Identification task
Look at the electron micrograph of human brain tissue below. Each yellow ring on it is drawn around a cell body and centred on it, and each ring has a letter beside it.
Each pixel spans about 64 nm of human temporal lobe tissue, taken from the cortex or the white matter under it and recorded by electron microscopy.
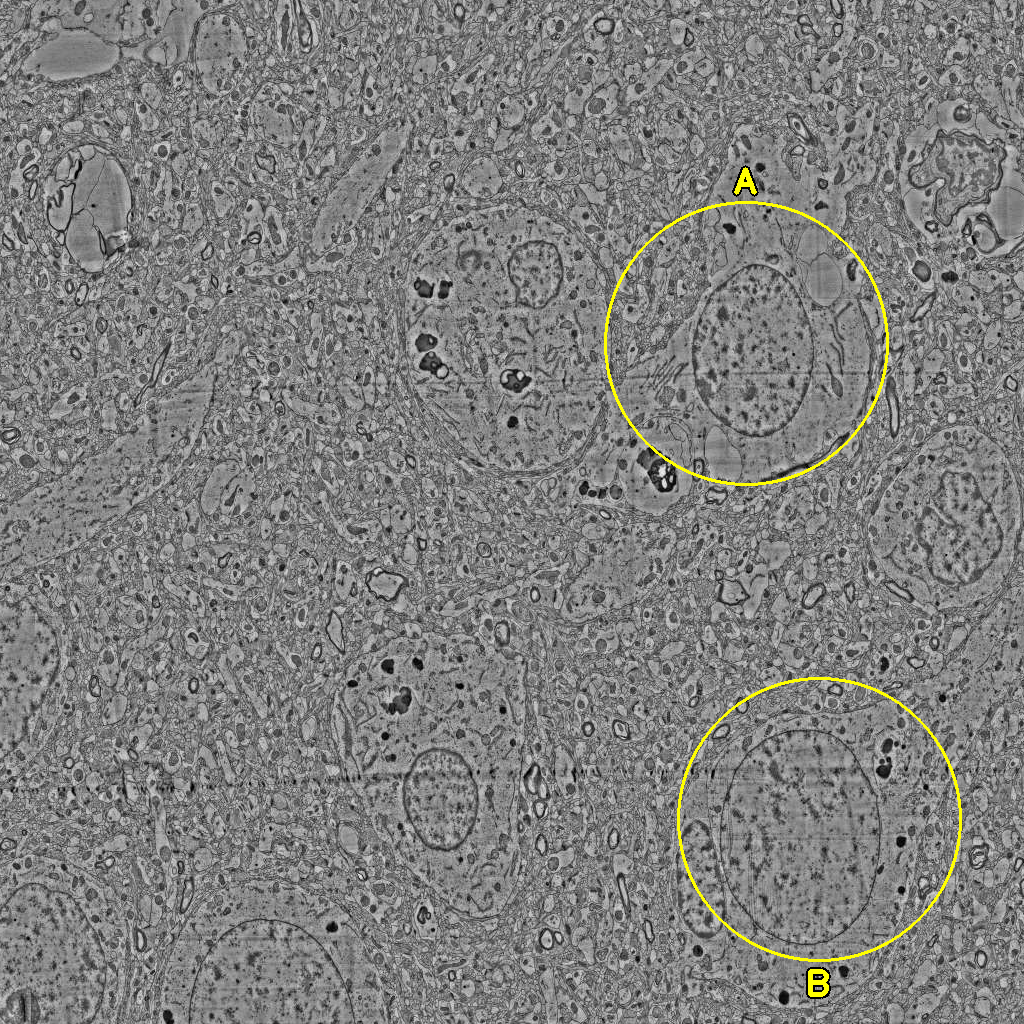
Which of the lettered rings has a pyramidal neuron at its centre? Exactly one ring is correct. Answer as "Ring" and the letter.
Ring B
